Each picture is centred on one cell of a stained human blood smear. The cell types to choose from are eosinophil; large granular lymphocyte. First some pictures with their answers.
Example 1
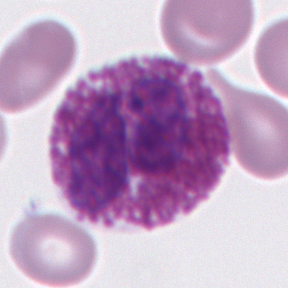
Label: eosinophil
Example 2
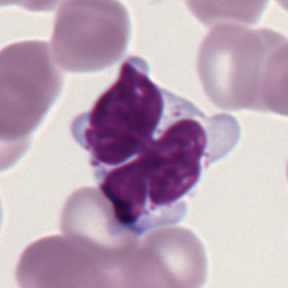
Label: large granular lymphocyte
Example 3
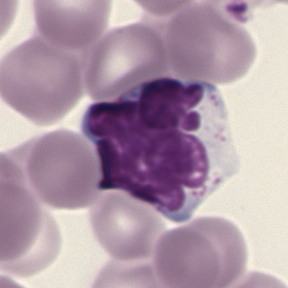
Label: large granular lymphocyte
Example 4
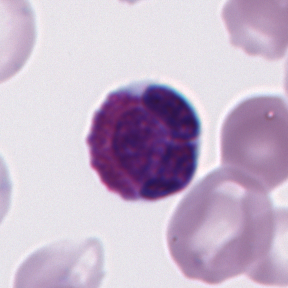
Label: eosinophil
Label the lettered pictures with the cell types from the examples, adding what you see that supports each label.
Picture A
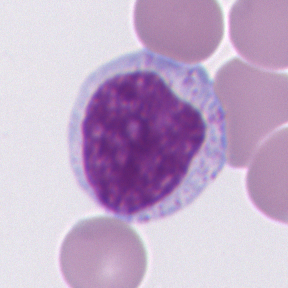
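large granular lymphocyte. Evidence: A scattering of small purple-red granules lies in the cytoplasm.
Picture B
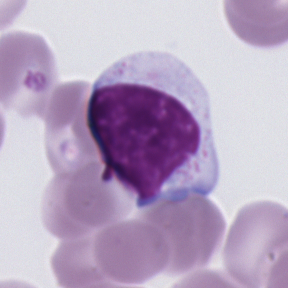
large granular lymphocyte. Evidence: Small reddish-pink granules are scattered sparsely through the cytoplasm.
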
